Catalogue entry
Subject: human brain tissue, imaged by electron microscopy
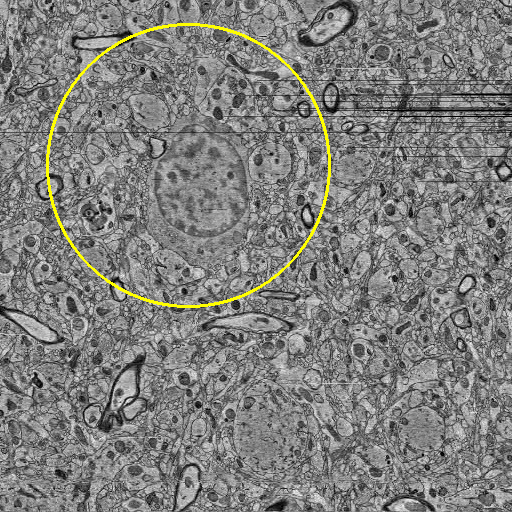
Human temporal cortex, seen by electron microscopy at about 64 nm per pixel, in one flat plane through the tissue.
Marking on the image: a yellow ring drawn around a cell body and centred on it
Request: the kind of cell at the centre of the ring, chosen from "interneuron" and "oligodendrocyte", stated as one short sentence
The ring has an oligodendrocyte at its centre.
